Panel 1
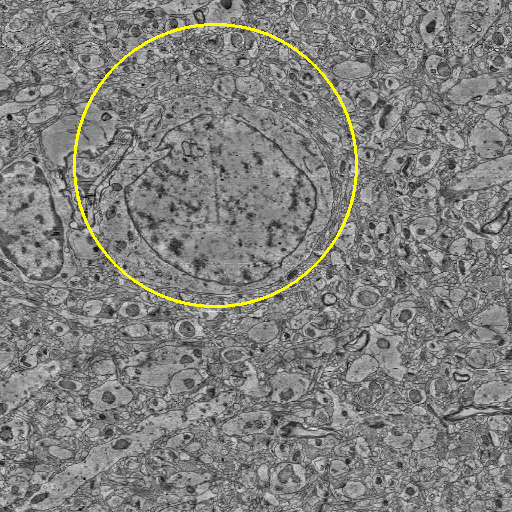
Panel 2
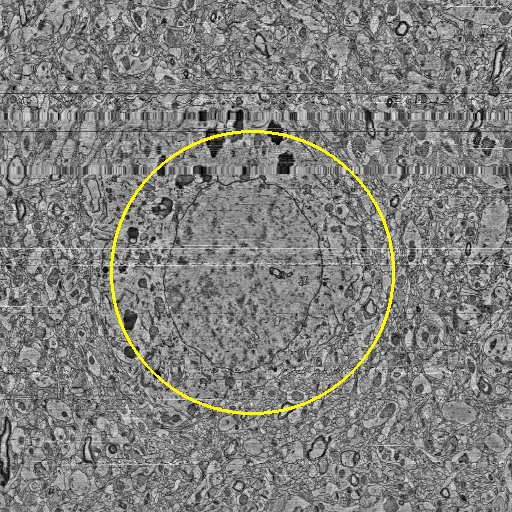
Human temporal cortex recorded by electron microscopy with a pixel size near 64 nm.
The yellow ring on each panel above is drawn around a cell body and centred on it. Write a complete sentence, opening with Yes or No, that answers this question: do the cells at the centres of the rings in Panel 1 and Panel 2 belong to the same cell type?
Yes, both cells belong to the same cell type.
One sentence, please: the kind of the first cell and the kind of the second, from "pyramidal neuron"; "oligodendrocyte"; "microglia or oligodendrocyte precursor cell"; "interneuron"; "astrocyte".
Each of the two cells is a pyramidal neuron.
